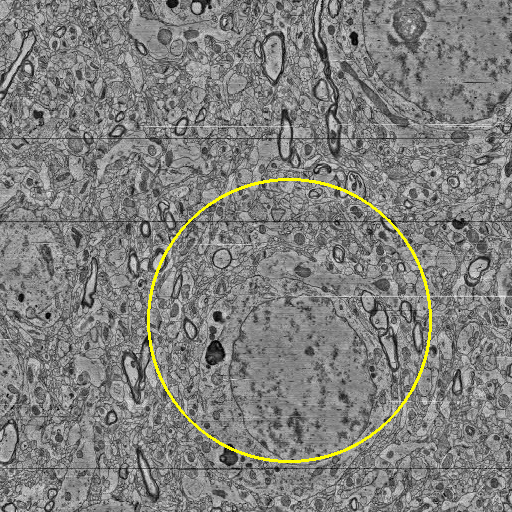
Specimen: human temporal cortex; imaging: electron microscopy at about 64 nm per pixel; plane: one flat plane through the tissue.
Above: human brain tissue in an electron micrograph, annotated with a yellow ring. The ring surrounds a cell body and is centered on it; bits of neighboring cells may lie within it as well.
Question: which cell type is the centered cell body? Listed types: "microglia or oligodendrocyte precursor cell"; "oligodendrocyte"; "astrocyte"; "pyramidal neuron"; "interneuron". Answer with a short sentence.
The centered cell body is a pyramidal neuron.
